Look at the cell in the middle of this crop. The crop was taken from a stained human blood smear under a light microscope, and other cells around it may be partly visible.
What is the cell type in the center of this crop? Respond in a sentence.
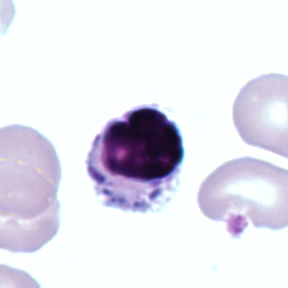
The cell centred in this crop is categorized as a normoblast.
